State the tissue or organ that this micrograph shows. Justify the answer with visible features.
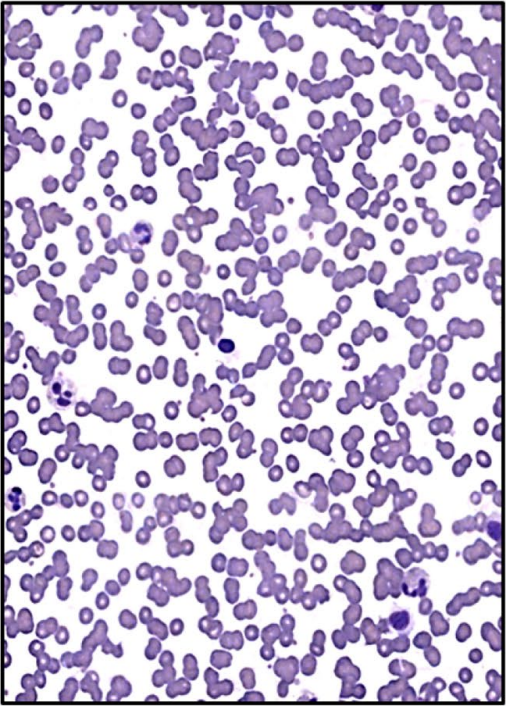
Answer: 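Blood. Densely scattered small round disc-shaped cells without nuclei, many with pale centres. Cells lie singly or in small overlapping clumps on a clear background, with no tissue architecture. A few larger cells with dark purple nuclei lie among them.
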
